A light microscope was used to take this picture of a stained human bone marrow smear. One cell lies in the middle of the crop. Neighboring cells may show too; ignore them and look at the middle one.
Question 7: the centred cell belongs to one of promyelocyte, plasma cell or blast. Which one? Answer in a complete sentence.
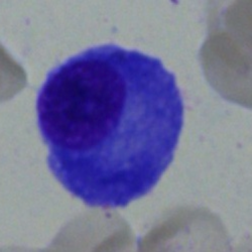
At the center of the crop sits a plasma cell.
